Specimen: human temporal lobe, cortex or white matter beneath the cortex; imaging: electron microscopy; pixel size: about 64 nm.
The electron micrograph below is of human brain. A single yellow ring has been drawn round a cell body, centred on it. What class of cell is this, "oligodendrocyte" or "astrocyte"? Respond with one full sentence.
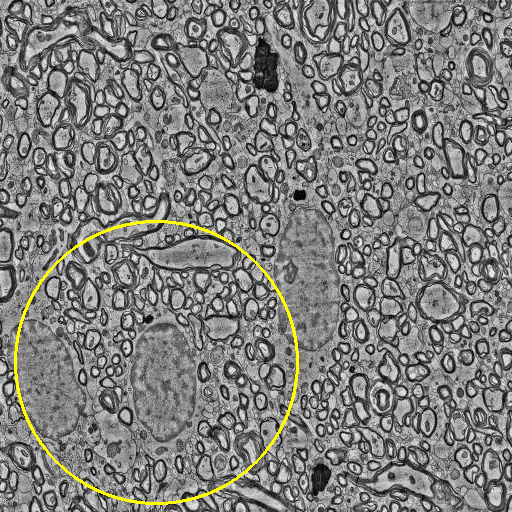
In the micrograph, the cell centred inside the yellow ring is an oligodendrocyte.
